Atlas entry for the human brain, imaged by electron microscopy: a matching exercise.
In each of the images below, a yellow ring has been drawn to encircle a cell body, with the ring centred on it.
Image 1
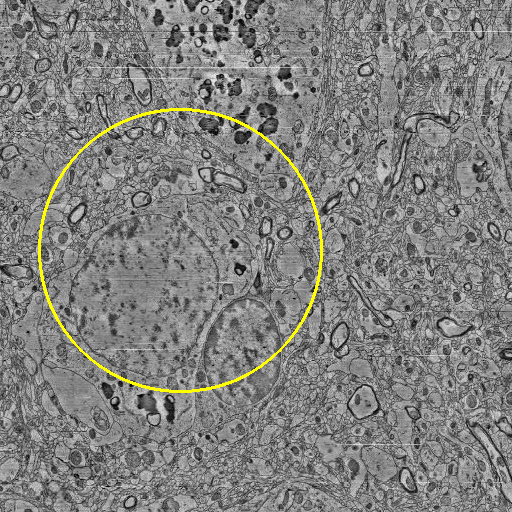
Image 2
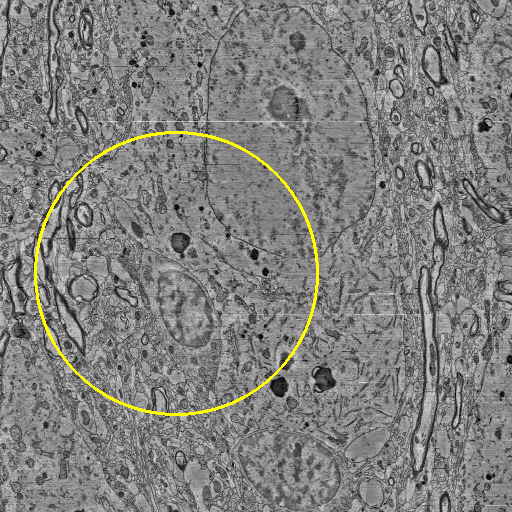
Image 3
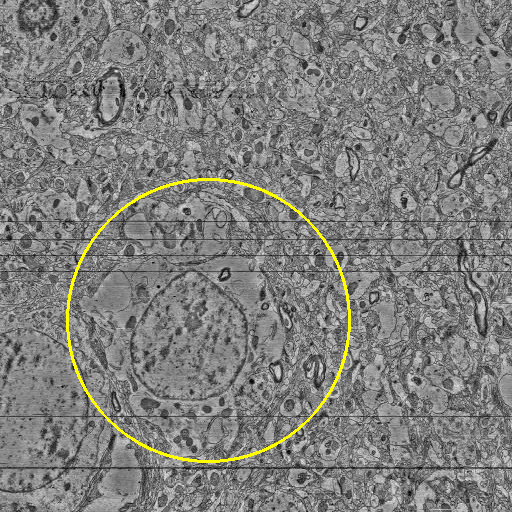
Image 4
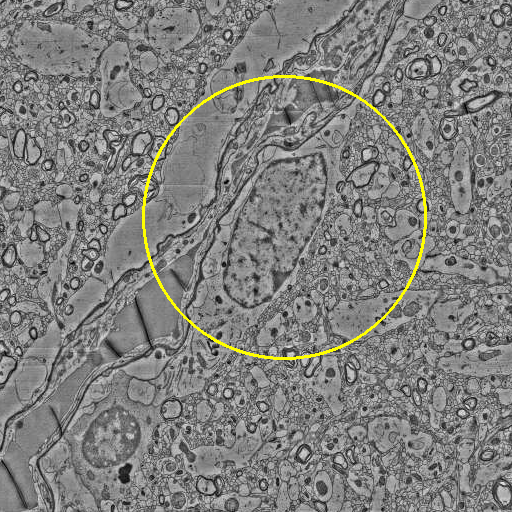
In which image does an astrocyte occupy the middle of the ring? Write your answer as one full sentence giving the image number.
In image 3, the ring is centred on the cell in question.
